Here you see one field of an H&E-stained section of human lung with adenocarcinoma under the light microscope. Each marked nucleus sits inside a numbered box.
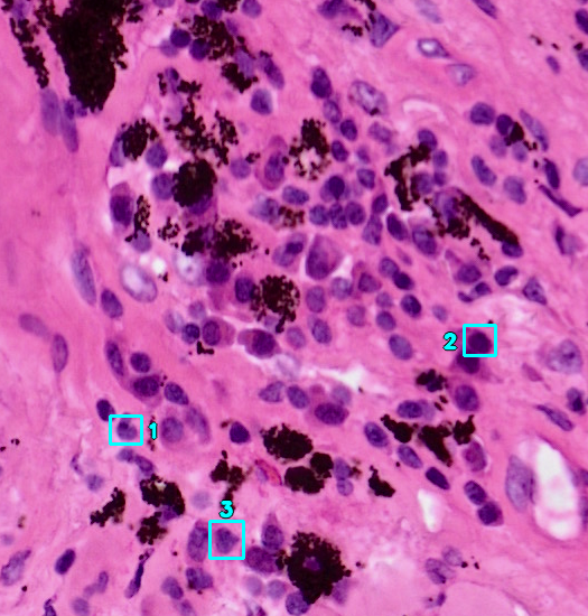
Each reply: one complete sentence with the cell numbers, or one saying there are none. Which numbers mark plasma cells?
Cell 2 stands alone among the numbered cells as a plasma cell.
